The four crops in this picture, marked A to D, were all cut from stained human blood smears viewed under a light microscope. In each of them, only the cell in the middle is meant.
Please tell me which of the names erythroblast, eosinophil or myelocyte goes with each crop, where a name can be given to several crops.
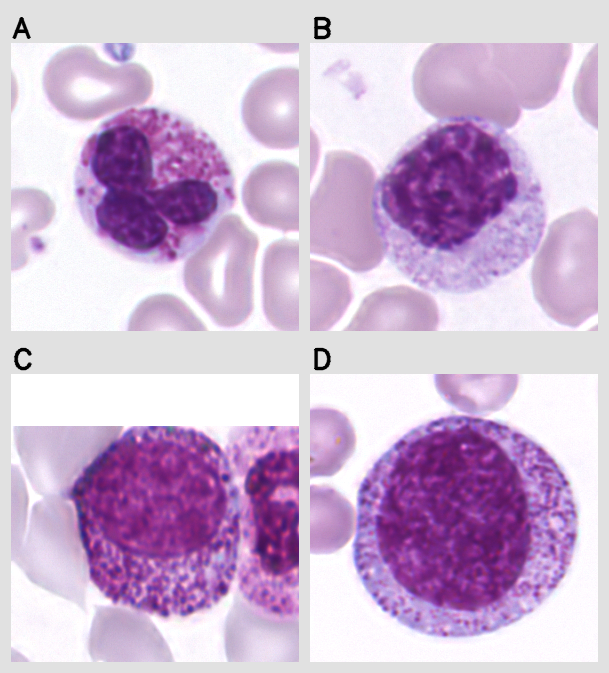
A: eosinophil
B: myelocyte
C: myelocyte
D: myelocyte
